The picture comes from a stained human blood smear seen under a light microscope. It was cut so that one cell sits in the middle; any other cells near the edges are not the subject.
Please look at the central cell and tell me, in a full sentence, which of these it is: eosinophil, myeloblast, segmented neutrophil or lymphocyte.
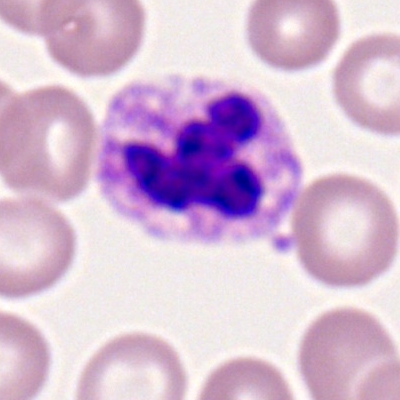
The cell found in the middle of this crop is a segmented neutrophil.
